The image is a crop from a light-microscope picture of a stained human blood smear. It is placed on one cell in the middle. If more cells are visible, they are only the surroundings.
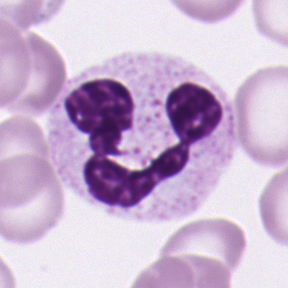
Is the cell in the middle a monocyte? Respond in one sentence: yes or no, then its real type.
No, instead of being a monocyte, the middle cell is a segmented neutrophil.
